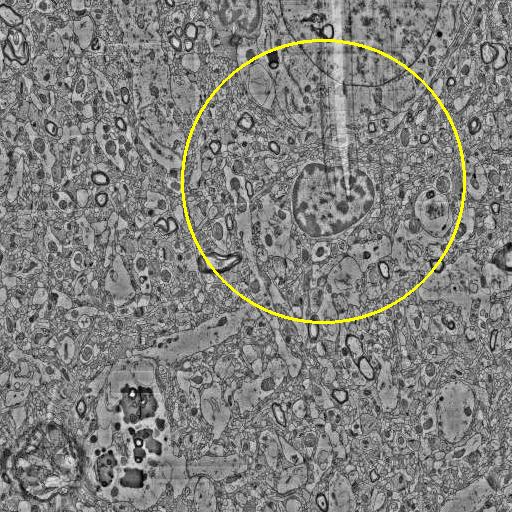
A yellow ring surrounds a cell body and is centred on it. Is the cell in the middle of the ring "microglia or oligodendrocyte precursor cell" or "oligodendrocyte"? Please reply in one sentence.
The ring is centred on a microglial cell or oligodendrocyte precursor cell.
